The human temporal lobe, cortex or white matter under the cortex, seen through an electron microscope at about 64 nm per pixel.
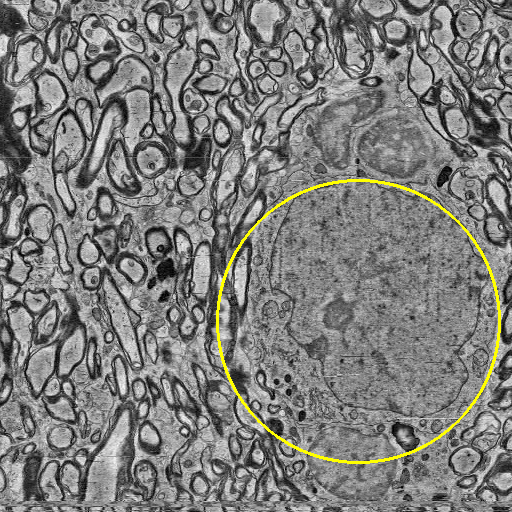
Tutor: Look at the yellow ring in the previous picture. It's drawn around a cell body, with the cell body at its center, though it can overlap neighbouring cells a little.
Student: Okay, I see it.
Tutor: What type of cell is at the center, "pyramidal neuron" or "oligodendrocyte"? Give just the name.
pyramidal neuron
